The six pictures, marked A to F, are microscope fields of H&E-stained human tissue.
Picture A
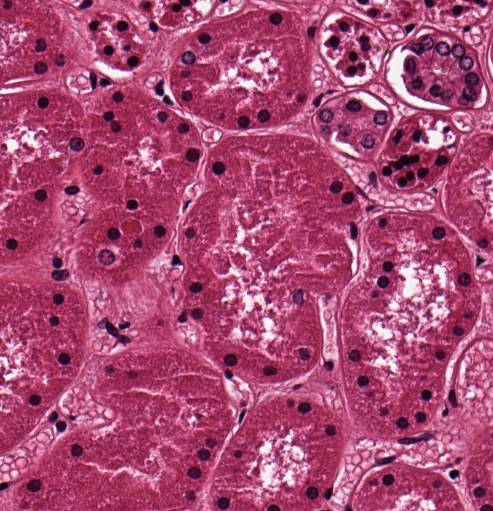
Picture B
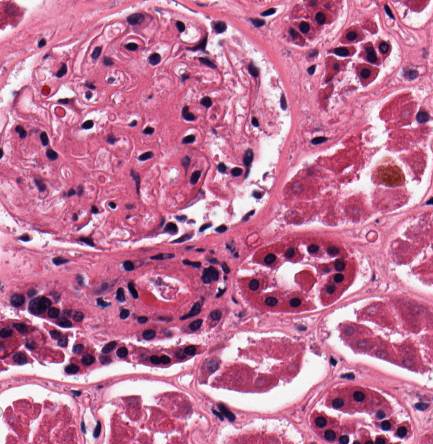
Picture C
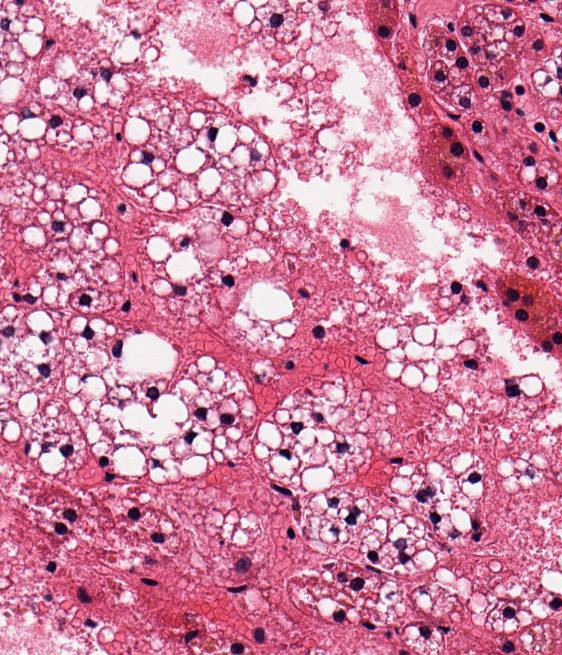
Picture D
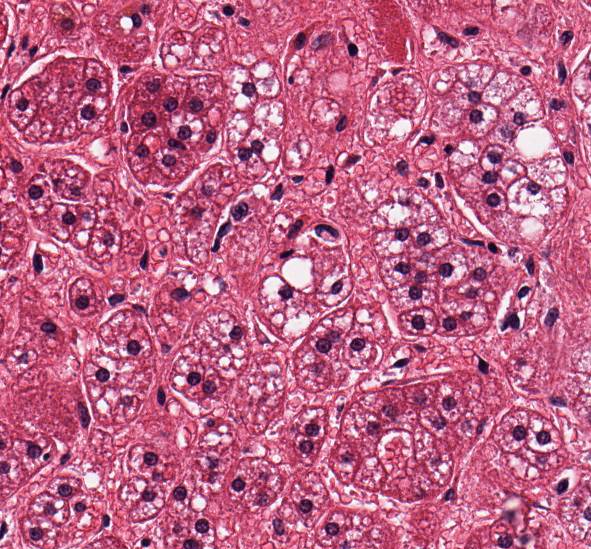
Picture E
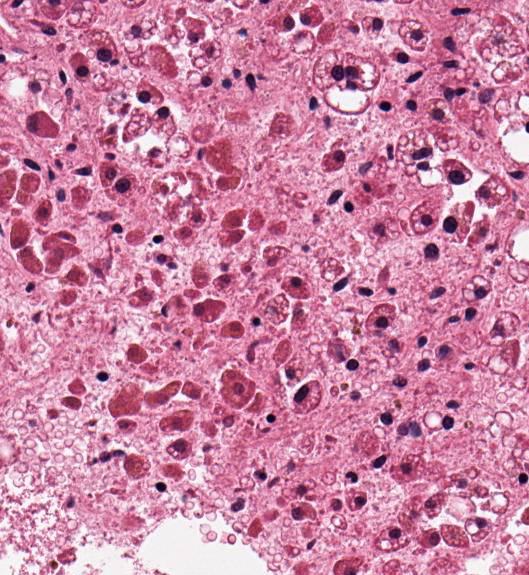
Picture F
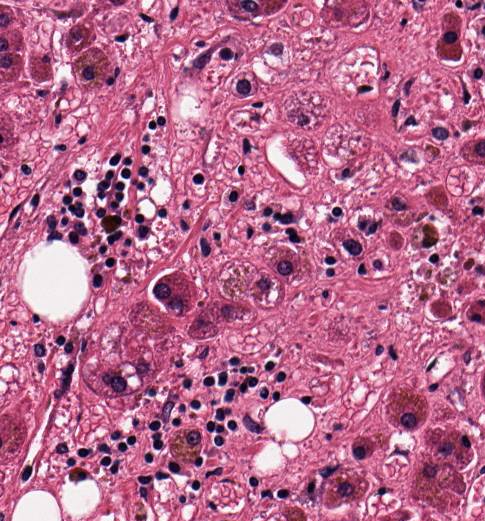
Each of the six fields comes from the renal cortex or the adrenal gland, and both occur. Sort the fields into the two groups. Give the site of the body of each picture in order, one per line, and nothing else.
renal cortex
renal cortex
adrenal gland
adrenal gland
adrenal gland
adrenal gland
